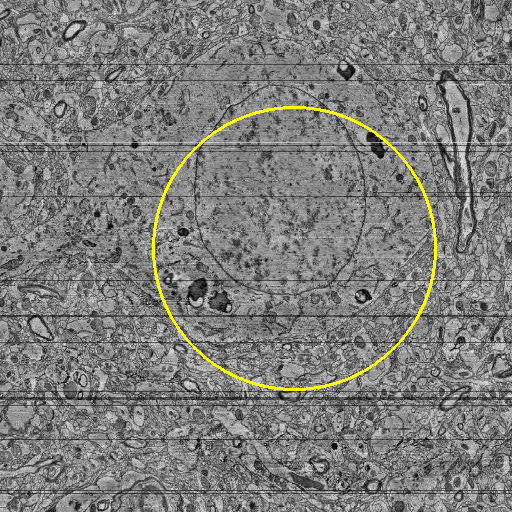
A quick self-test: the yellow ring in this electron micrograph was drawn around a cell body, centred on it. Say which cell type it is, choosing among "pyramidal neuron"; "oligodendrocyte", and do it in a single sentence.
The yellow-ringed cell is a pyramidal neuron.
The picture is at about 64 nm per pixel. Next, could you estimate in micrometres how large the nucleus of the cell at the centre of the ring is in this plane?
In this plane, roughly 14 by 11 micrometres.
